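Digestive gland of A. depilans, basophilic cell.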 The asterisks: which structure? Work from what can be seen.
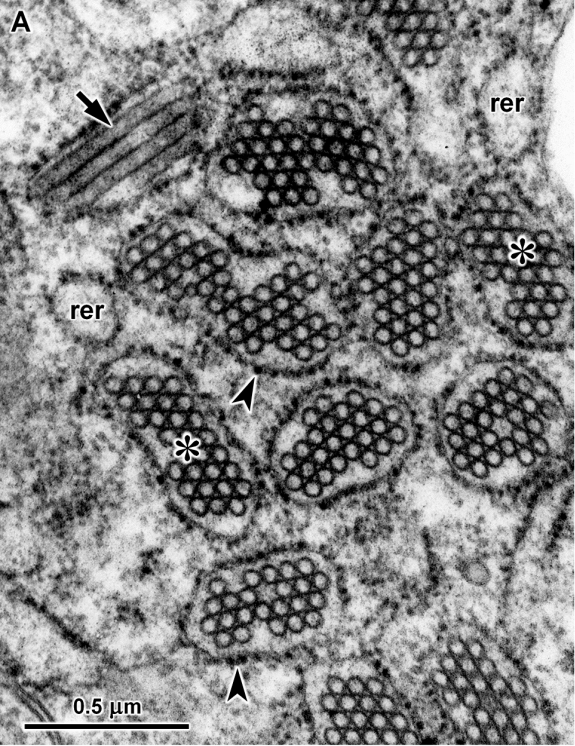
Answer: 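Regularly packed small rings with pale centres lie in clusters. Each cluster is enclosed by a membrane-bound sac. On this evidence: Tubular structures.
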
